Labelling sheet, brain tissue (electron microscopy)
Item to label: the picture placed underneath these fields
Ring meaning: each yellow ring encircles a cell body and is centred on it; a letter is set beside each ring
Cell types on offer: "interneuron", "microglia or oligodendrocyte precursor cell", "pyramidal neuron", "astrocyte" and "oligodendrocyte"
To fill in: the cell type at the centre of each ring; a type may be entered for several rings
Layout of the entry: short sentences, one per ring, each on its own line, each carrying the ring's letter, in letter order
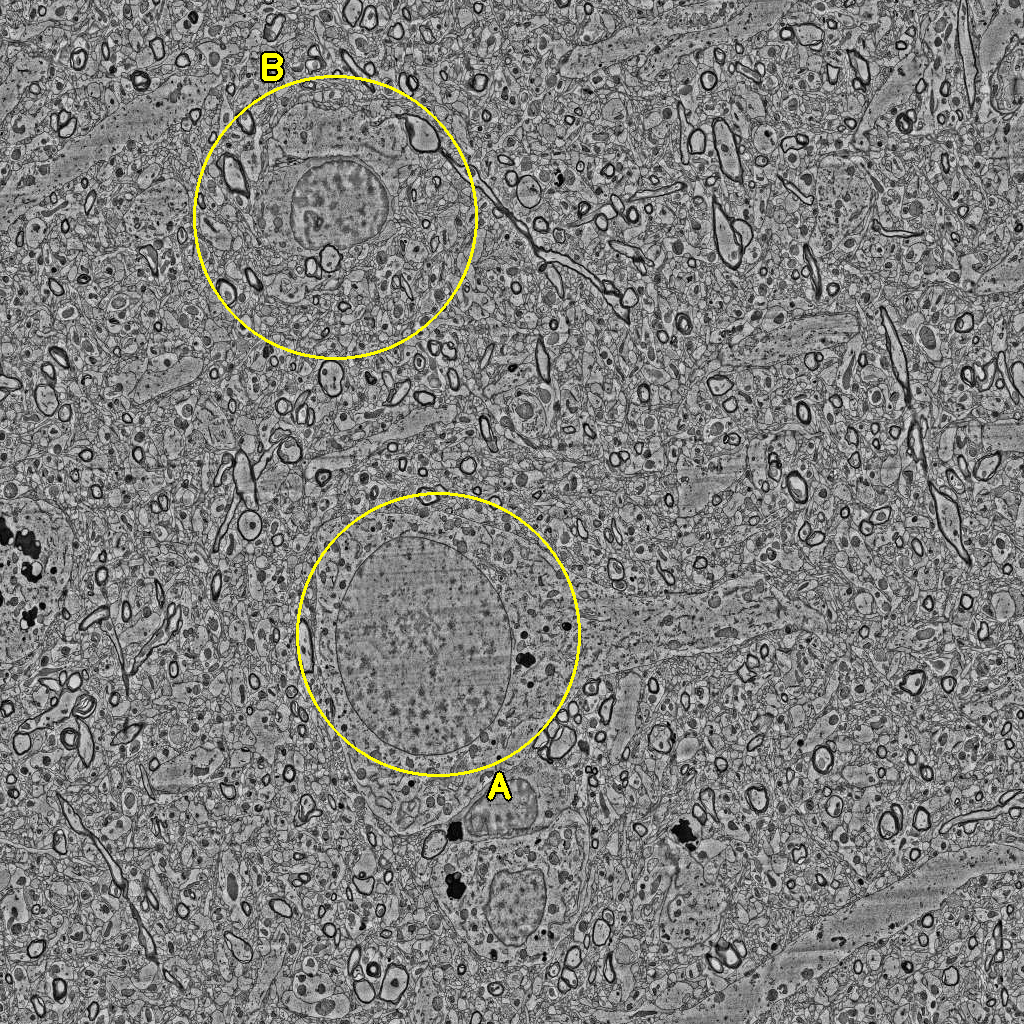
Ring A encircles the body of a pyramidal neuron.
Ring B encircles the body of an oligodendrocyte.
